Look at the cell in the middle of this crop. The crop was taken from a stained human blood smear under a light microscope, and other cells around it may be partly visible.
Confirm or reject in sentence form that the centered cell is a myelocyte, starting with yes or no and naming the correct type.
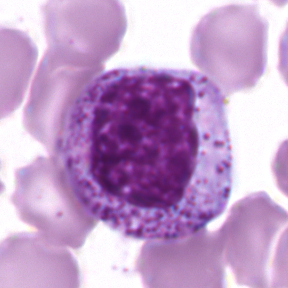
Yes, the cell that the crop is centered on is a myelocyte.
